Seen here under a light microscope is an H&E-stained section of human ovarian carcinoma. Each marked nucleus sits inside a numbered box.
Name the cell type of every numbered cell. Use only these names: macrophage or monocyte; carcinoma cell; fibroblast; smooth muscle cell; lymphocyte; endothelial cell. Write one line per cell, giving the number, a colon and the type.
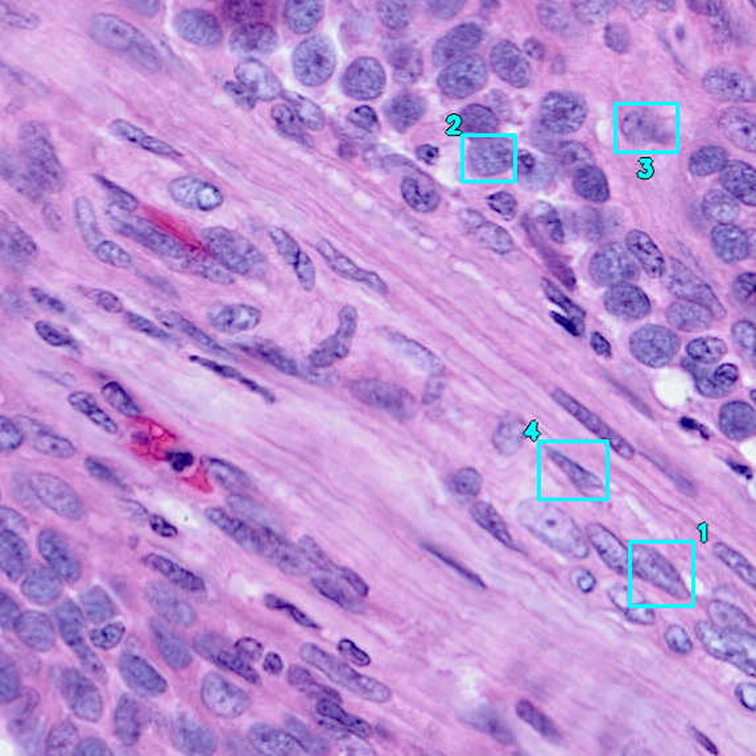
1: endothelial cell
2: carcinoma cell
3: fibroblast
4: fibroblast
